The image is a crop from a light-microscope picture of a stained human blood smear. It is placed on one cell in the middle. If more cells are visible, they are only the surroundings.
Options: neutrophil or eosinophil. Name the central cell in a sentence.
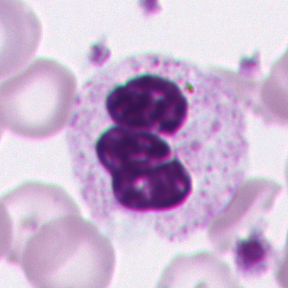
This crop is built around a neutrophil at its centre.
